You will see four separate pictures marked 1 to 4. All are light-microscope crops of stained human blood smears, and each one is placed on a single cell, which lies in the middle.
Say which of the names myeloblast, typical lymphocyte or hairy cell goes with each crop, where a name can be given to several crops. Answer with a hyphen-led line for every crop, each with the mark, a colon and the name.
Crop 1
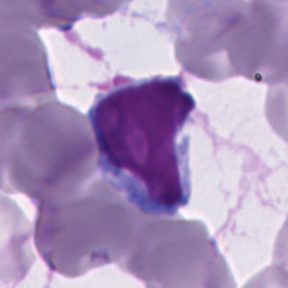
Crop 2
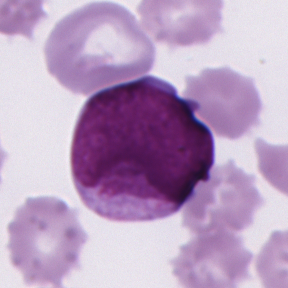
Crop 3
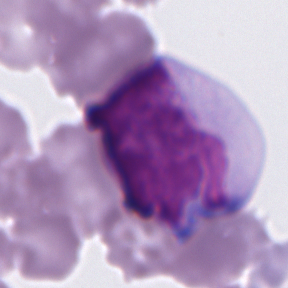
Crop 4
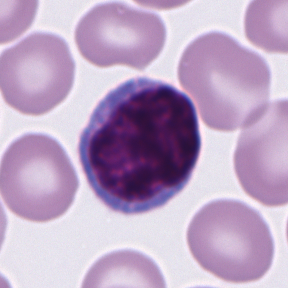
- 1: typical lymphocyte
- 2: myeloblast
- 3: myeloblast
- 4: typical lymphocyte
